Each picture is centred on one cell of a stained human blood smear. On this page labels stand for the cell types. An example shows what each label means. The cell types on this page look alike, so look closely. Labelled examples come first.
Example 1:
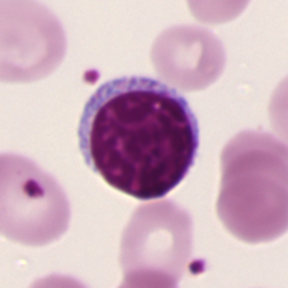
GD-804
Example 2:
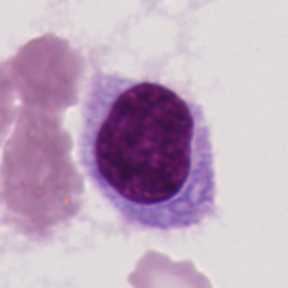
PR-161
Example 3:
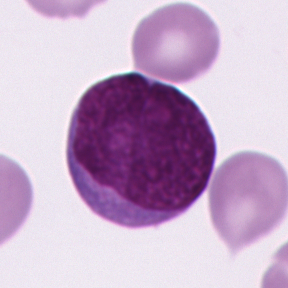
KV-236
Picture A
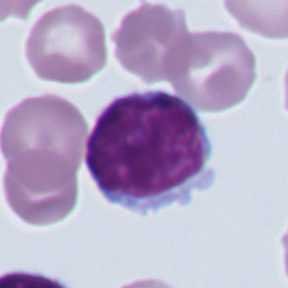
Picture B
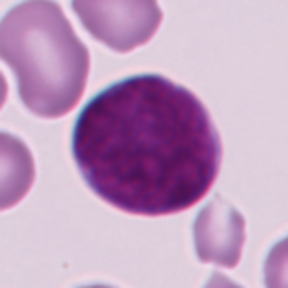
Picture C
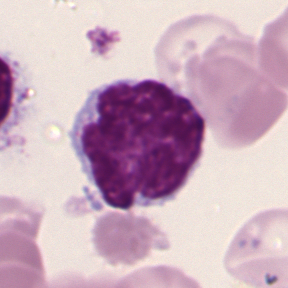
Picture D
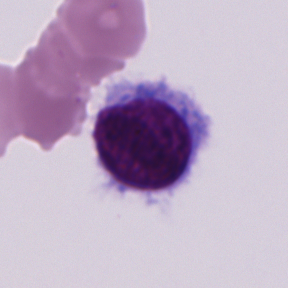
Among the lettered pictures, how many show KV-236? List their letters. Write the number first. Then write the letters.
1, namely B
